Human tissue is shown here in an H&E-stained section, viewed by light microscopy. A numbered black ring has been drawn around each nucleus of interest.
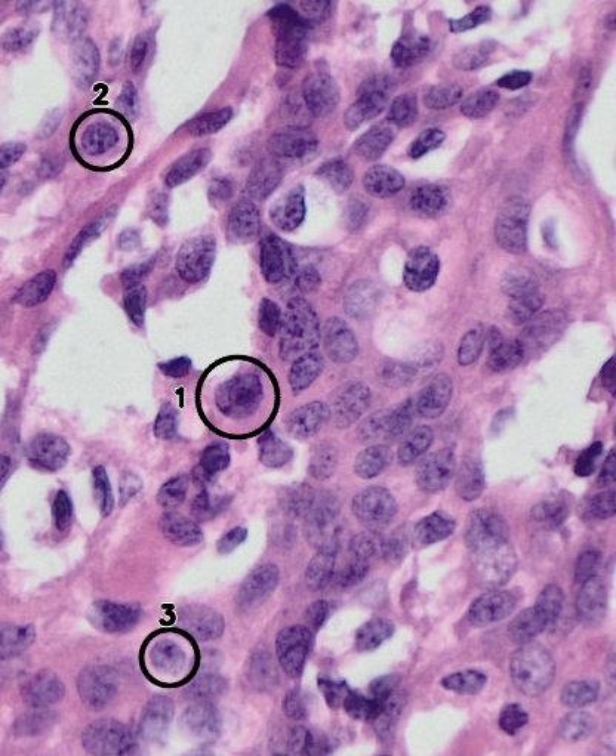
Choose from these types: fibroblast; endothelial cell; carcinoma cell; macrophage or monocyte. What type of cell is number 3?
macrophage or monocyte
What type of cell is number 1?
carcinoma cell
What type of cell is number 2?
macrophage or monocyte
